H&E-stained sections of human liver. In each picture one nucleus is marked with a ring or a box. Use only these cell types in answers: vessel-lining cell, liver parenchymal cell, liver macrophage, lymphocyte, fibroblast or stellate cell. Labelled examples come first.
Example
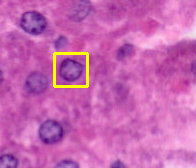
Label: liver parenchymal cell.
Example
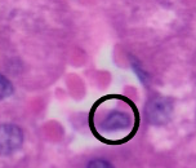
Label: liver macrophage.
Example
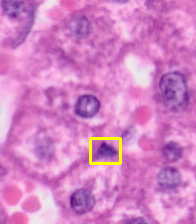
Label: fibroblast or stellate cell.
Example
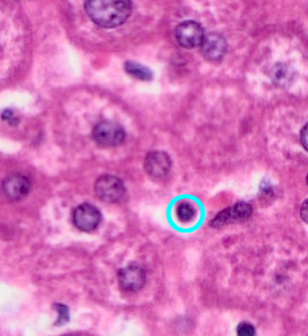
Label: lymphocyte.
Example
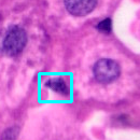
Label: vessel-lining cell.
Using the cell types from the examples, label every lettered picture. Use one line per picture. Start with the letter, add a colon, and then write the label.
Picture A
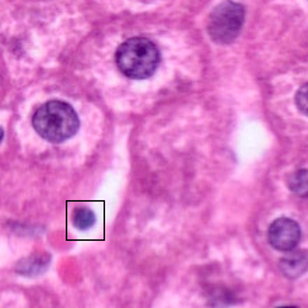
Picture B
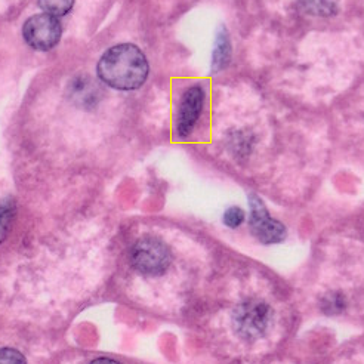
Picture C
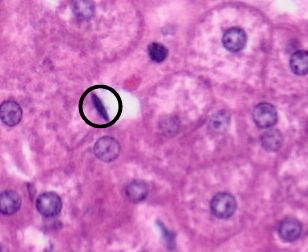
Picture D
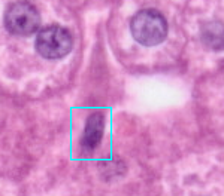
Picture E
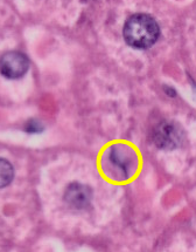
A: lymphocyte.
B: fibroblast or stellate cell.
C: vessel-lining cell.
D: liver macrophage.
E: vessel-lining cell.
